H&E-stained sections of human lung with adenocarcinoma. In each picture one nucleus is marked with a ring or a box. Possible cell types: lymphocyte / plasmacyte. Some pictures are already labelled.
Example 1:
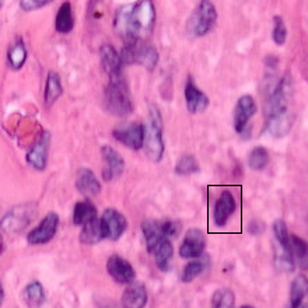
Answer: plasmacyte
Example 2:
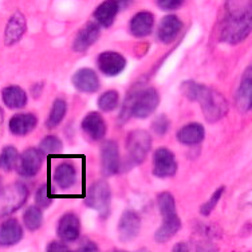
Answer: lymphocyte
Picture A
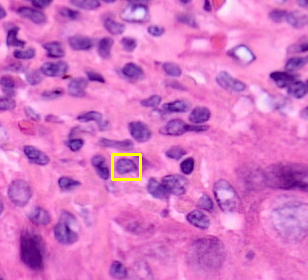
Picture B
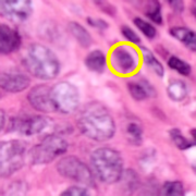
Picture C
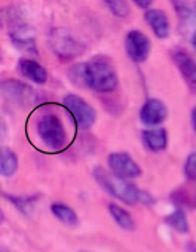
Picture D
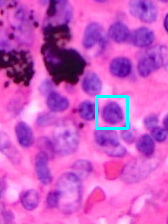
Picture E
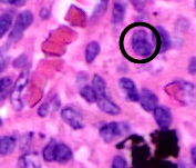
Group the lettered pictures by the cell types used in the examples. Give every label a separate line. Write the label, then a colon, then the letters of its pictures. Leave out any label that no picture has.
lymphocyte: A, D, E
plasmacyte: B, C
